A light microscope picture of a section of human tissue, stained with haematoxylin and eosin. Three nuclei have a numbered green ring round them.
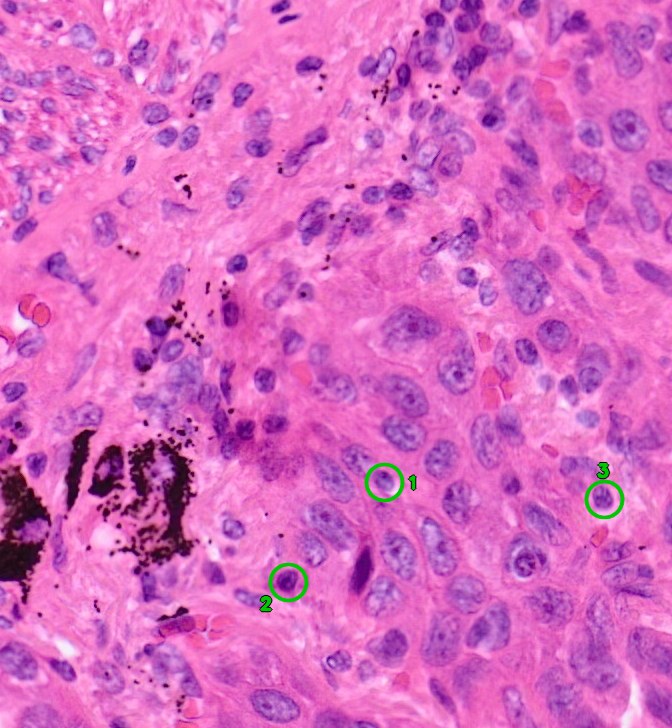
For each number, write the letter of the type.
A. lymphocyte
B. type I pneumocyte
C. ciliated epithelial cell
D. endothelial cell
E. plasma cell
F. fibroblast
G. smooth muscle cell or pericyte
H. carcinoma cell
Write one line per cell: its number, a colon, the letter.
1: A
2: E
3: A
